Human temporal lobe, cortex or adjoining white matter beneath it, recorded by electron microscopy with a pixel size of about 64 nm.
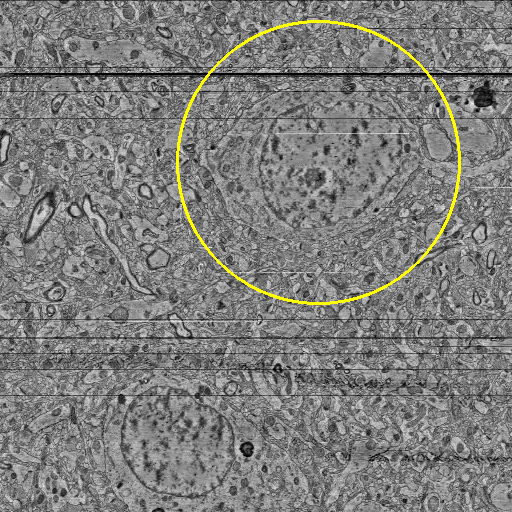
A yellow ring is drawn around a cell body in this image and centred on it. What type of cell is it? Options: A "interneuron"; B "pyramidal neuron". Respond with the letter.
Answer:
A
